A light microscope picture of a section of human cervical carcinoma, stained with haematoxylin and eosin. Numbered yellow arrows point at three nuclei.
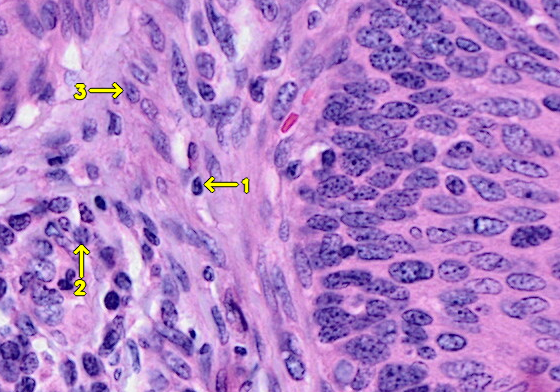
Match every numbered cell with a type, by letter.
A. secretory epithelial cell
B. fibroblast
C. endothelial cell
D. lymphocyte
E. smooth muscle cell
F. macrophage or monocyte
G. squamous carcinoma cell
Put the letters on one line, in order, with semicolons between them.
D; D; E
